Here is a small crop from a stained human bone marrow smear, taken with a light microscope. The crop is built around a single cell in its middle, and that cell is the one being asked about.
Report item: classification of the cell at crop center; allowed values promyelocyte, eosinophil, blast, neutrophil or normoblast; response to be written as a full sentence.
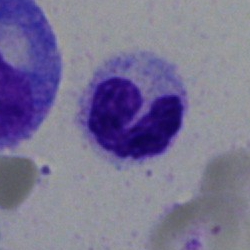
The cell that lies at the centre of the crop is a neutrophil.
